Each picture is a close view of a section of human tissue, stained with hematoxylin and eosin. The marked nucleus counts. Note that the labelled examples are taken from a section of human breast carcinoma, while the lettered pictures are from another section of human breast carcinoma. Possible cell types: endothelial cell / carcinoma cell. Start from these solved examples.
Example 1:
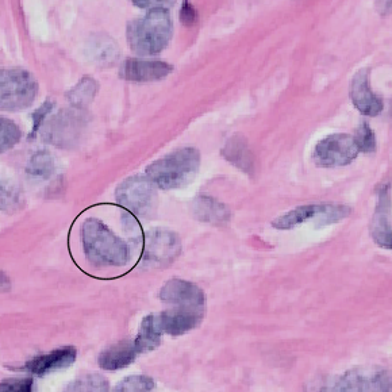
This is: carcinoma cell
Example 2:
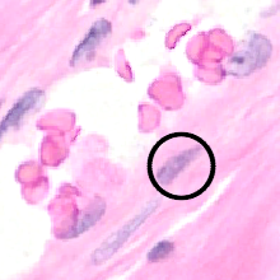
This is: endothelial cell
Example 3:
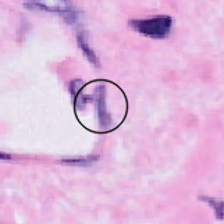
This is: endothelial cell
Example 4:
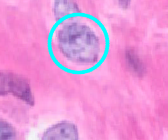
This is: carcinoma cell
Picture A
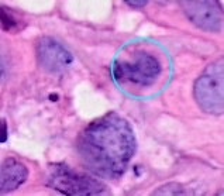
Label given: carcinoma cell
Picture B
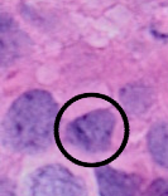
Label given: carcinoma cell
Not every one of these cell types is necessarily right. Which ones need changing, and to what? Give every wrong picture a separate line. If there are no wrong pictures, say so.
Nothing to fix; every label fits.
